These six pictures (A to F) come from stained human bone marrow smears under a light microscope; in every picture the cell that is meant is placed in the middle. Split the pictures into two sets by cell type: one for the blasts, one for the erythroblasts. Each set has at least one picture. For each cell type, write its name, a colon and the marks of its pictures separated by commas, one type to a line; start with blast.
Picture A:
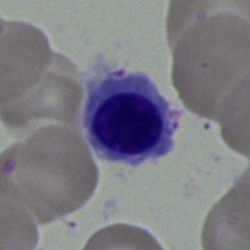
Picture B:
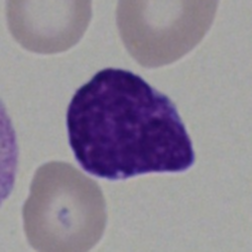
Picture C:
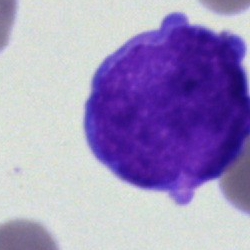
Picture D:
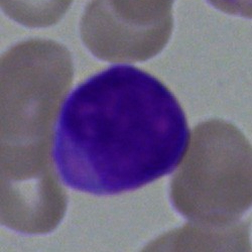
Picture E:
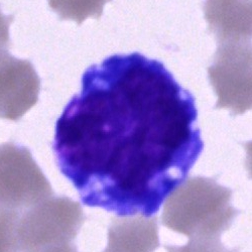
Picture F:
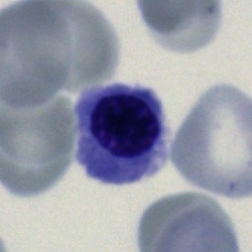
blast: B, C, D, E
erythroblast: A, F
